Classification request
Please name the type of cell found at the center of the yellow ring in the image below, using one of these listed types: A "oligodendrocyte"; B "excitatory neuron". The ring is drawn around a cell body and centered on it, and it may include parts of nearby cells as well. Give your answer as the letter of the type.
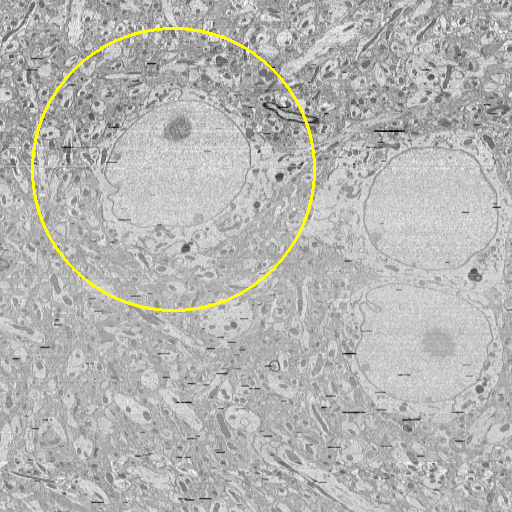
B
